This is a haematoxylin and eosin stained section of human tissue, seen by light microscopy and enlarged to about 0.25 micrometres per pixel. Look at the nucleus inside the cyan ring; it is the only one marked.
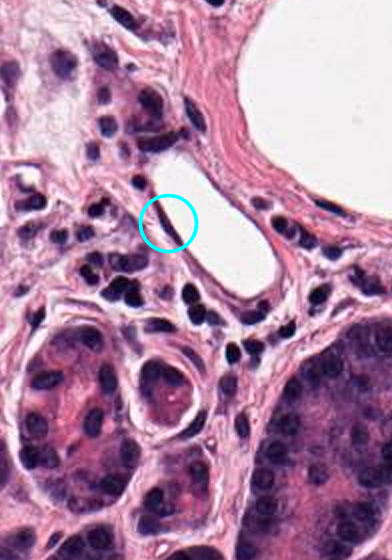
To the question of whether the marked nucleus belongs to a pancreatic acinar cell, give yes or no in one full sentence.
No, the cell whose nucleus is marked is a supporting cell and not a pancreatic acinar cell.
